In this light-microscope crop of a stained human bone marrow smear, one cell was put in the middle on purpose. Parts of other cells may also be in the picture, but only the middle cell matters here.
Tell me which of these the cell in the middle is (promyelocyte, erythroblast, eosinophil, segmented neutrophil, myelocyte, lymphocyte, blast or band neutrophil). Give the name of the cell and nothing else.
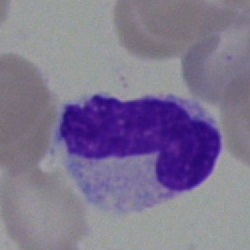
band neutrophil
